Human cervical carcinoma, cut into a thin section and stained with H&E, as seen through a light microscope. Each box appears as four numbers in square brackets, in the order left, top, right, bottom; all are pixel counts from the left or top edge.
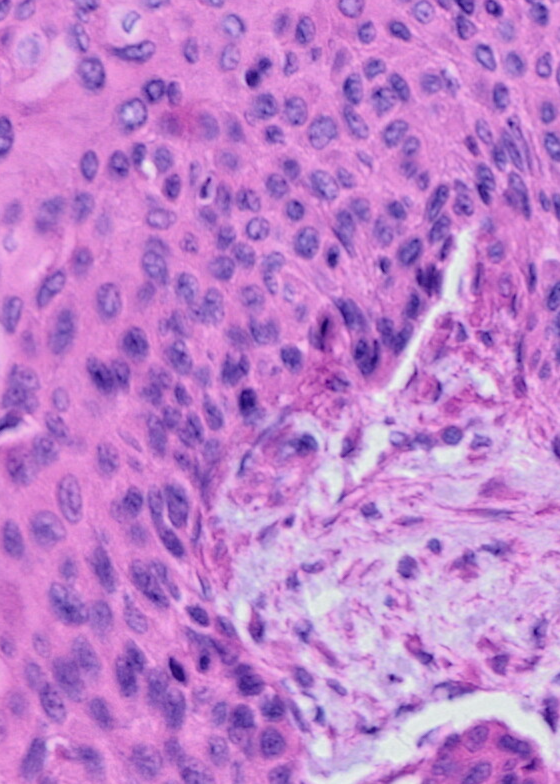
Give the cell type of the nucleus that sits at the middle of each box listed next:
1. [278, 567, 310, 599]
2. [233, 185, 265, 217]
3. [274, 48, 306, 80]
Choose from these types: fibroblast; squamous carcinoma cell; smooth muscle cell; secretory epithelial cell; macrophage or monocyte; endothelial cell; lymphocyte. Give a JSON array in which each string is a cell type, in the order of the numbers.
["fibroblast", "squamous carcinoma cell", "squamous carcinoma cell"]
